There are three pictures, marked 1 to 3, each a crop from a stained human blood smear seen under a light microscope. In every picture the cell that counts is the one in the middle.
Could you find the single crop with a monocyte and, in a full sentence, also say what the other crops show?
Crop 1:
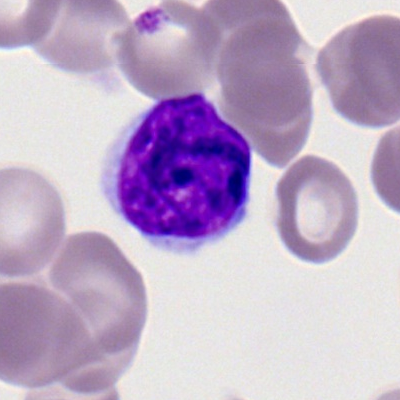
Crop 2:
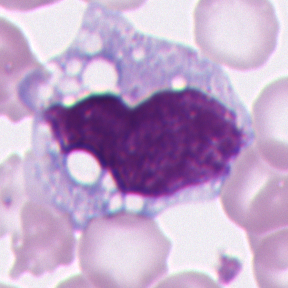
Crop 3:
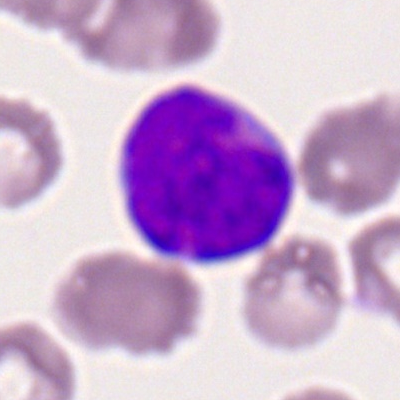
Crop 2 is recognised as a monocyte, whereas crop 1 is a lymphocyte and crop 3 is a blast.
